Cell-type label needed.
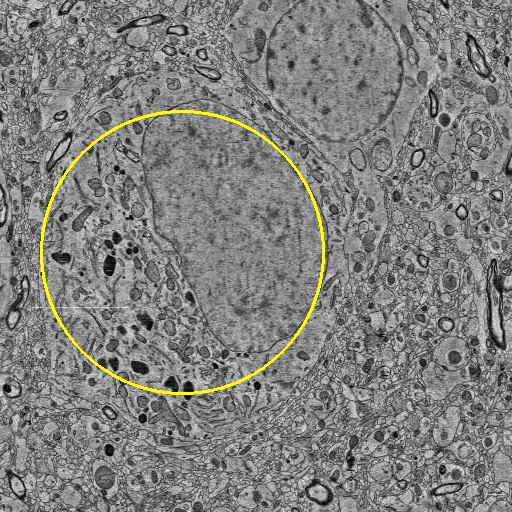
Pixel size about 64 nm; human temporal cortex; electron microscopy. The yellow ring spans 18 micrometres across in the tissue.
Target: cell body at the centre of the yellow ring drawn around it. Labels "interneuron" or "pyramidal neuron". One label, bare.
interneuron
